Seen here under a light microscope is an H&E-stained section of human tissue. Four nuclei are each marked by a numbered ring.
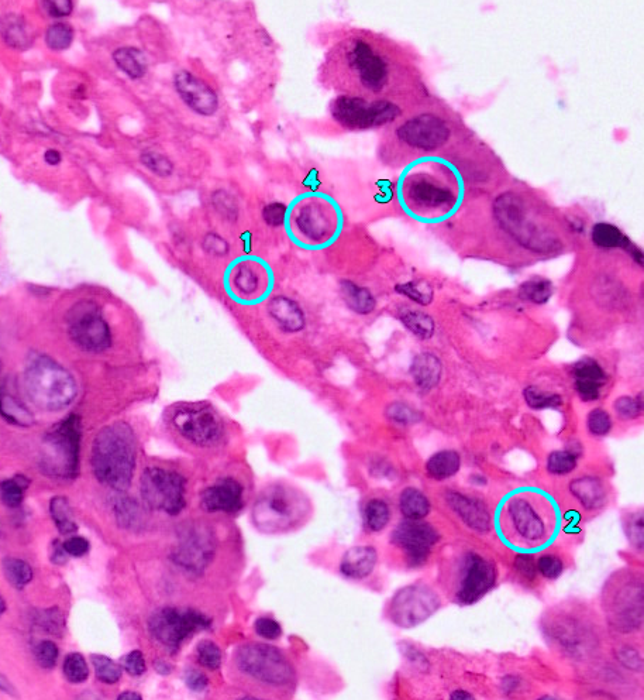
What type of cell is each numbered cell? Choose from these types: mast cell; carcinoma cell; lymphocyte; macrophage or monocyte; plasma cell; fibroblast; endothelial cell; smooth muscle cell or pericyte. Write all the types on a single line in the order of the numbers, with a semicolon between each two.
macrophage or monocyte; macrophage or monocyte; carcinoma cell; macrophage or monocyte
